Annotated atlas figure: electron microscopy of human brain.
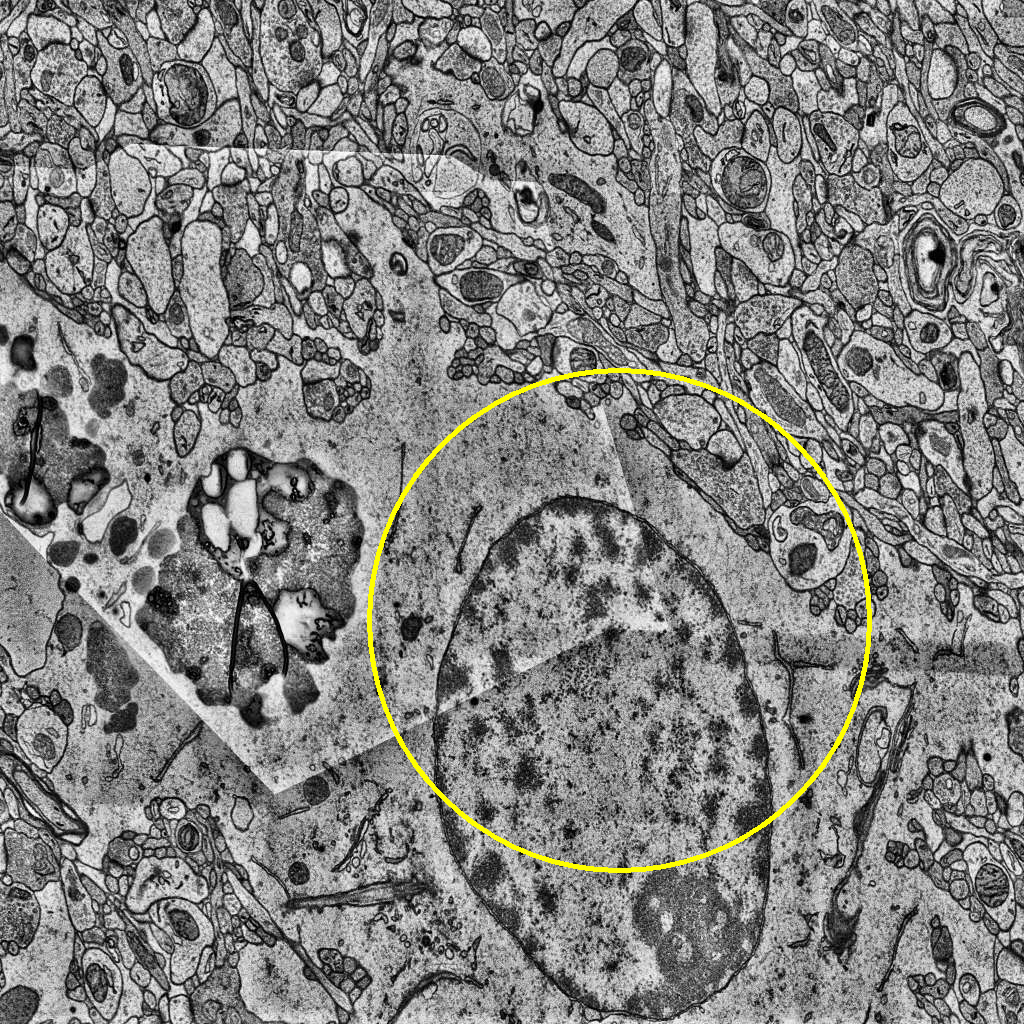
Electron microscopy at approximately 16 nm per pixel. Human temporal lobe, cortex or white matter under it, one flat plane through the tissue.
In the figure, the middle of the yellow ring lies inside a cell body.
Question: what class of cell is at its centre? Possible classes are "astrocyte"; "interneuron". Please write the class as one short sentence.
The yellow ring's centre lies in an astrocyte.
